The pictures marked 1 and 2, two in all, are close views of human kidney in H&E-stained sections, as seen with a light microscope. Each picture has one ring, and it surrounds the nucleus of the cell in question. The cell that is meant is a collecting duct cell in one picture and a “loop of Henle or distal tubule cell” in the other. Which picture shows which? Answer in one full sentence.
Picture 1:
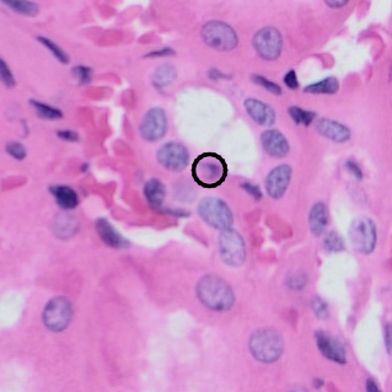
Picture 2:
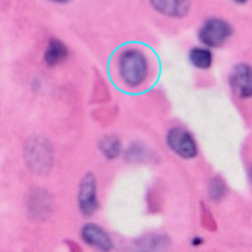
The cell in picture 1 is a collecting duct cell, and the one in picture 2 is a “loop of Henle or distal tubule cell”.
